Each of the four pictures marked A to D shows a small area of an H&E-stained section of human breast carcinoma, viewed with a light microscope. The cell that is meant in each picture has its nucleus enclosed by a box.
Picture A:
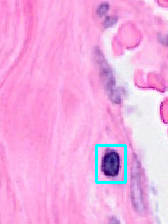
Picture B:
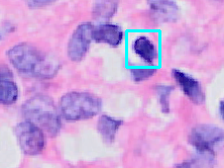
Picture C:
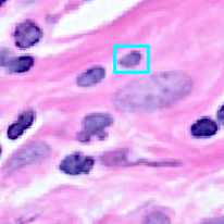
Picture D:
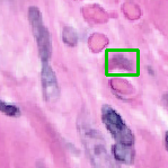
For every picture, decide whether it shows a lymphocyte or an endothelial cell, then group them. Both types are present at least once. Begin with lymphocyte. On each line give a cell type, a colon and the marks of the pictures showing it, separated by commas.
lymphocyte: A, B, C
endothelial cell: D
